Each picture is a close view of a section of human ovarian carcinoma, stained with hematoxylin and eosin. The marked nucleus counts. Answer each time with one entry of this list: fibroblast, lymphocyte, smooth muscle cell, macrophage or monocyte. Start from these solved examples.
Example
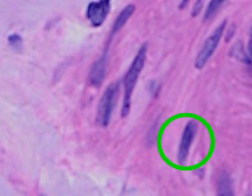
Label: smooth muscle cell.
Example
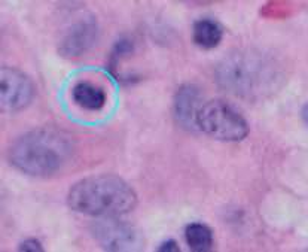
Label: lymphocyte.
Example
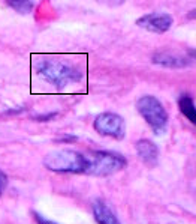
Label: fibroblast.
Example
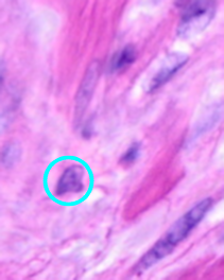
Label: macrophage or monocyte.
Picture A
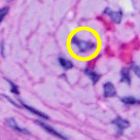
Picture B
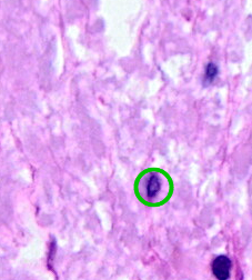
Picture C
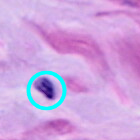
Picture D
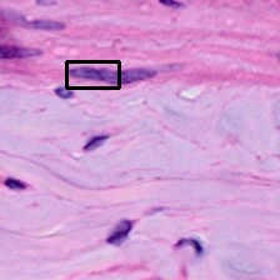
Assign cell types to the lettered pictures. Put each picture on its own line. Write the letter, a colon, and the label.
A: fibroblast.
B: macrophage or monocyte.
C: lymphocyte.
D: smooth muscle cell.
